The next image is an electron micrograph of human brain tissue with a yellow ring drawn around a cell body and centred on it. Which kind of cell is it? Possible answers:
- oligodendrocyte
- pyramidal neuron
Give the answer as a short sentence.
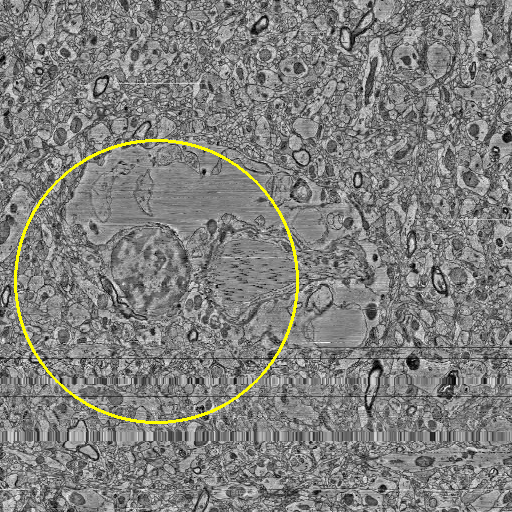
In the ring's centre is an oligodendrocyte.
